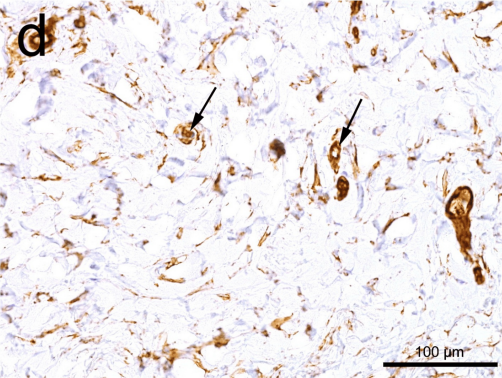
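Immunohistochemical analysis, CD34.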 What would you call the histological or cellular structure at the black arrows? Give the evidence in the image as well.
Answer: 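The arrows point to small round brown-rimmed profiles with a central lumen. These ring-shaped structures are small vessel cross-sections in the stroma. That points to this answer: capillaries.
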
